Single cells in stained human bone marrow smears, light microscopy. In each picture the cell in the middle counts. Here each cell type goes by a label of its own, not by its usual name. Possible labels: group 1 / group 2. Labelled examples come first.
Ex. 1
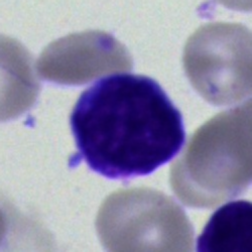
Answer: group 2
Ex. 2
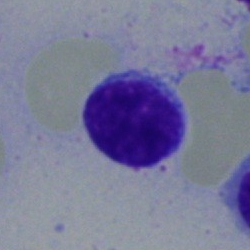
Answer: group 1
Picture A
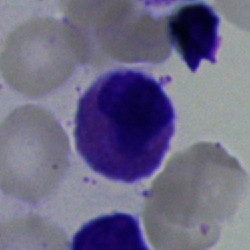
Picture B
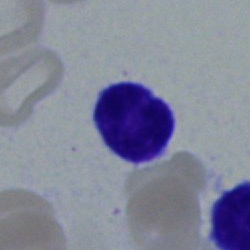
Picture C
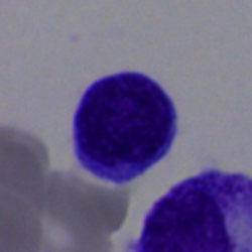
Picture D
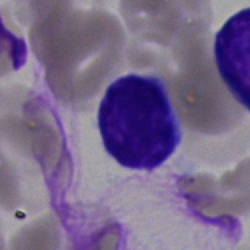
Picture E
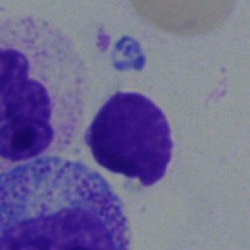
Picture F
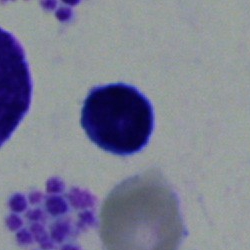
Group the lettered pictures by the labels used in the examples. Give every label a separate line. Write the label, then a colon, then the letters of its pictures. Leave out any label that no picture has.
group 1: A, B, C, D, E, F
